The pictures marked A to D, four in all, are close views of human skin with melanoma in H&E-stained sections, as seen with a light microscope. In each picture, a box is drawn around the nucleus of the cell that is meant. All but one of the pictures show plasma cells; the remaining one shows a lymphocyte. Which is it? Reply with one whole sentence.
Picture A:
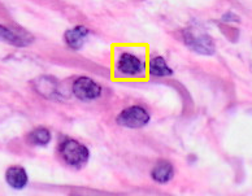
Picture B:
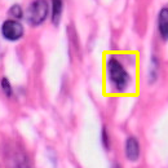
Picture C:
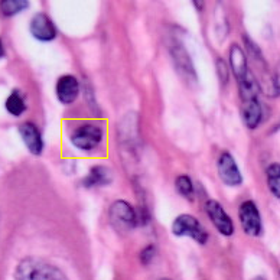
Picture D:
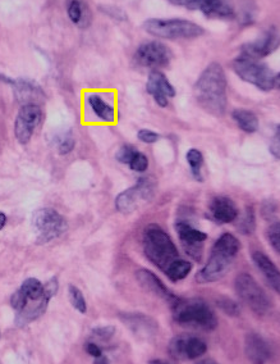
The cell in picture D is the lymphocyte.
